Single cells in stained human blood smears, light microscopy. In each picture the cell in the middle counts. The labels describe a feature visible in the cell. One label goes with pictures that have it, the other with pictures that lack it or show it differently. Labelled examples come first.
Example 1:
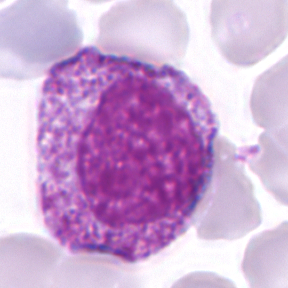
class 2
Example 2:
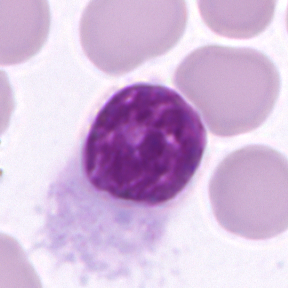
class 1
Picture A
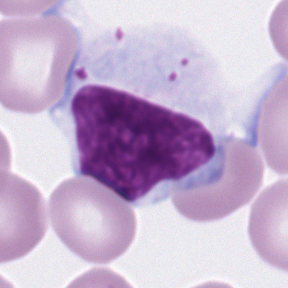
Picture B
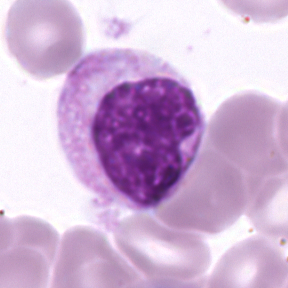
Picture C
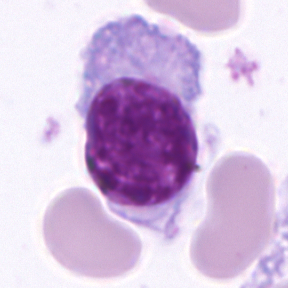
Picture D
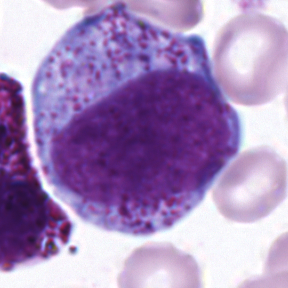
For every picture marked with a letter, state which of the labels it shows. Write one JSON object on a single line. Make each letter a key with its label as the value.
{"A": "class 2", "B": "class 2", "C": "class 2", "D": "class 2"}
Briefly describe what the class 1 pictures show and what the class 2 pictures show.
class 1, scant cytoplasm; class 2, abundant cytoplasm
